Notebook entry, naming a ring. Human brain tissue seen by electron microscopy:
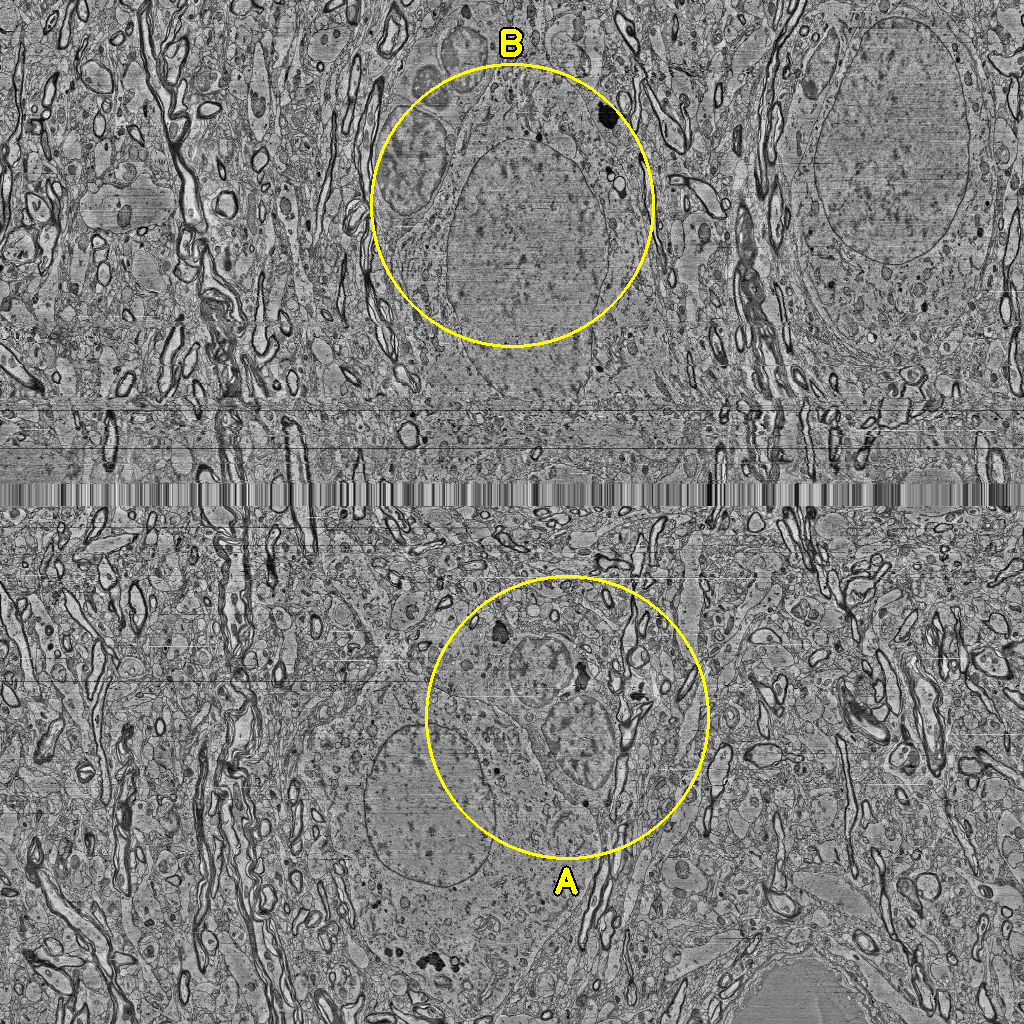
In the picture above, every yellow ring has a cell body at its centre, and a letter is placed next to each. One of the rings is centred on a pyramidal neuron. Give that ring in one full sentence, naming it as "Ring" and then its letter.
Ring B is the ring whose centre holds the cell asked for.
